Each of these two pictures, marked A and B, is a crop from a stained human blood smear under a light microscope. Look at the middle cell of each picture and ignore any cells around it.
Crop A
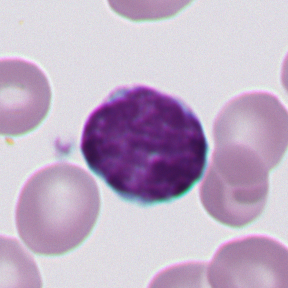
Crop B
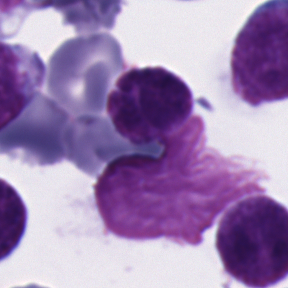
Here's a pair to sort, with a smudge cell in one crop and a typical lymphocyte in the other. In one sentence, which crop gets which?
Displayed in crop A is a typical lymphocyte, while crop B displays a smudge cell.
